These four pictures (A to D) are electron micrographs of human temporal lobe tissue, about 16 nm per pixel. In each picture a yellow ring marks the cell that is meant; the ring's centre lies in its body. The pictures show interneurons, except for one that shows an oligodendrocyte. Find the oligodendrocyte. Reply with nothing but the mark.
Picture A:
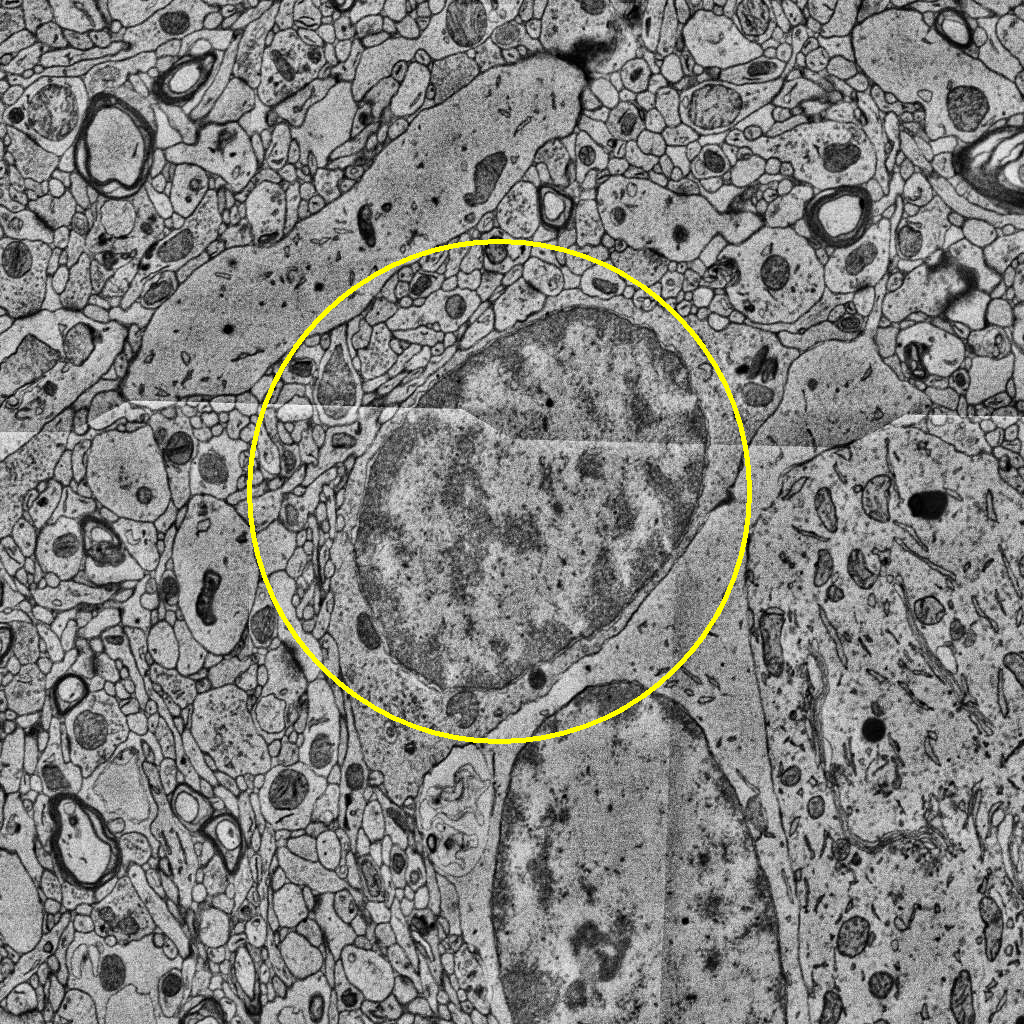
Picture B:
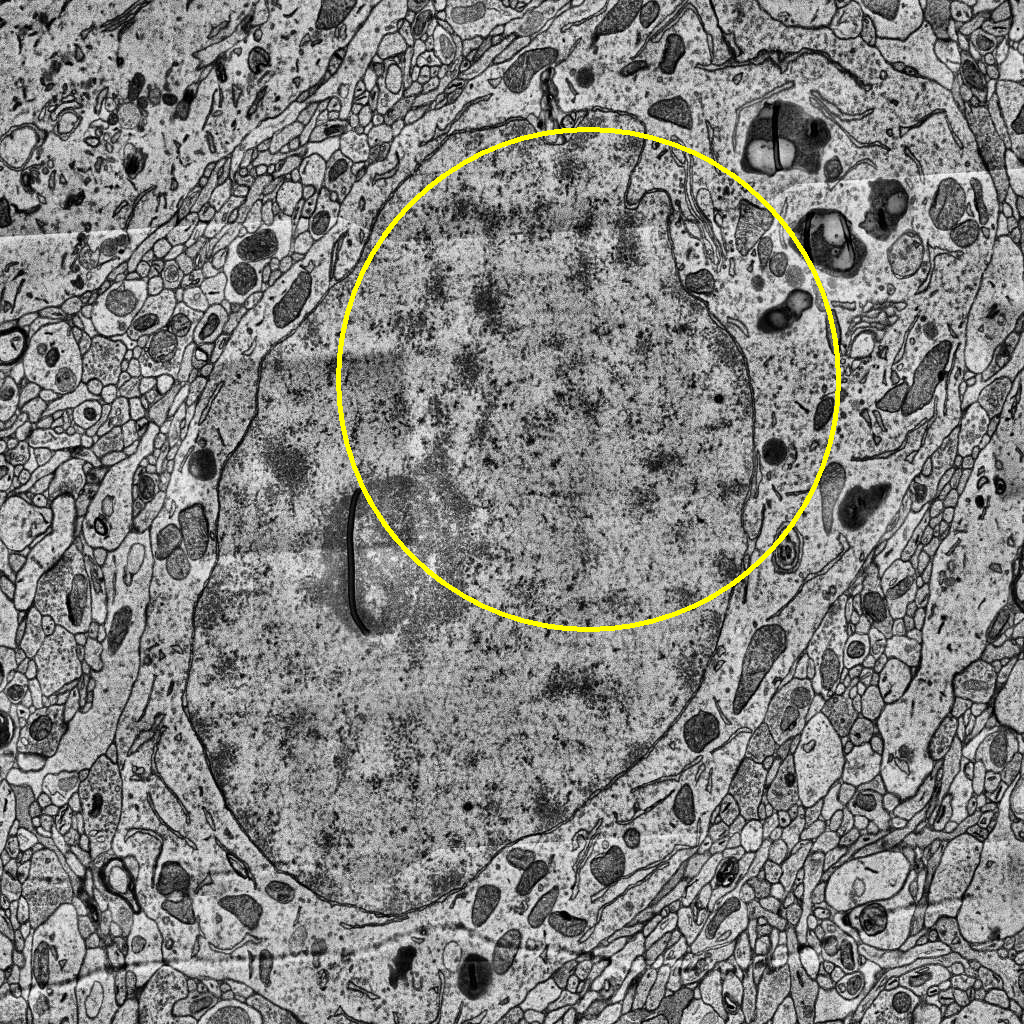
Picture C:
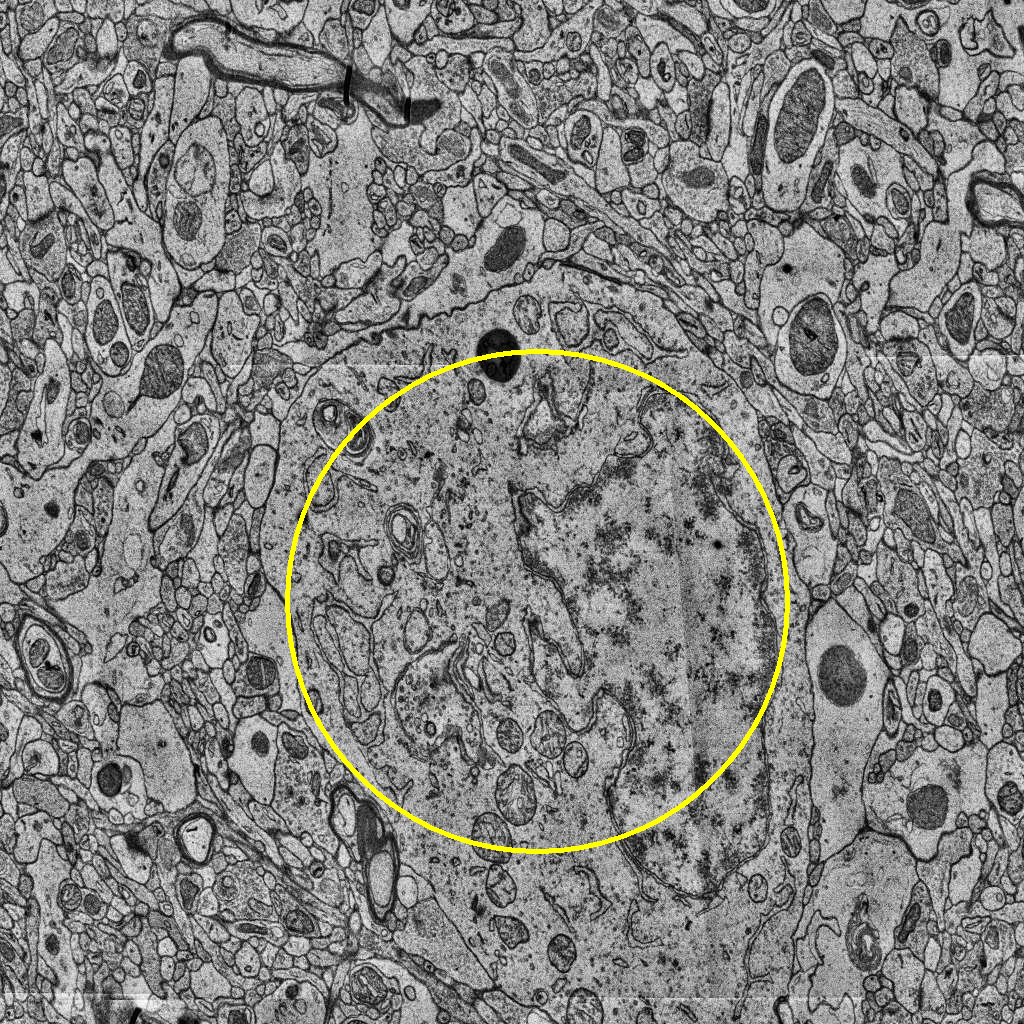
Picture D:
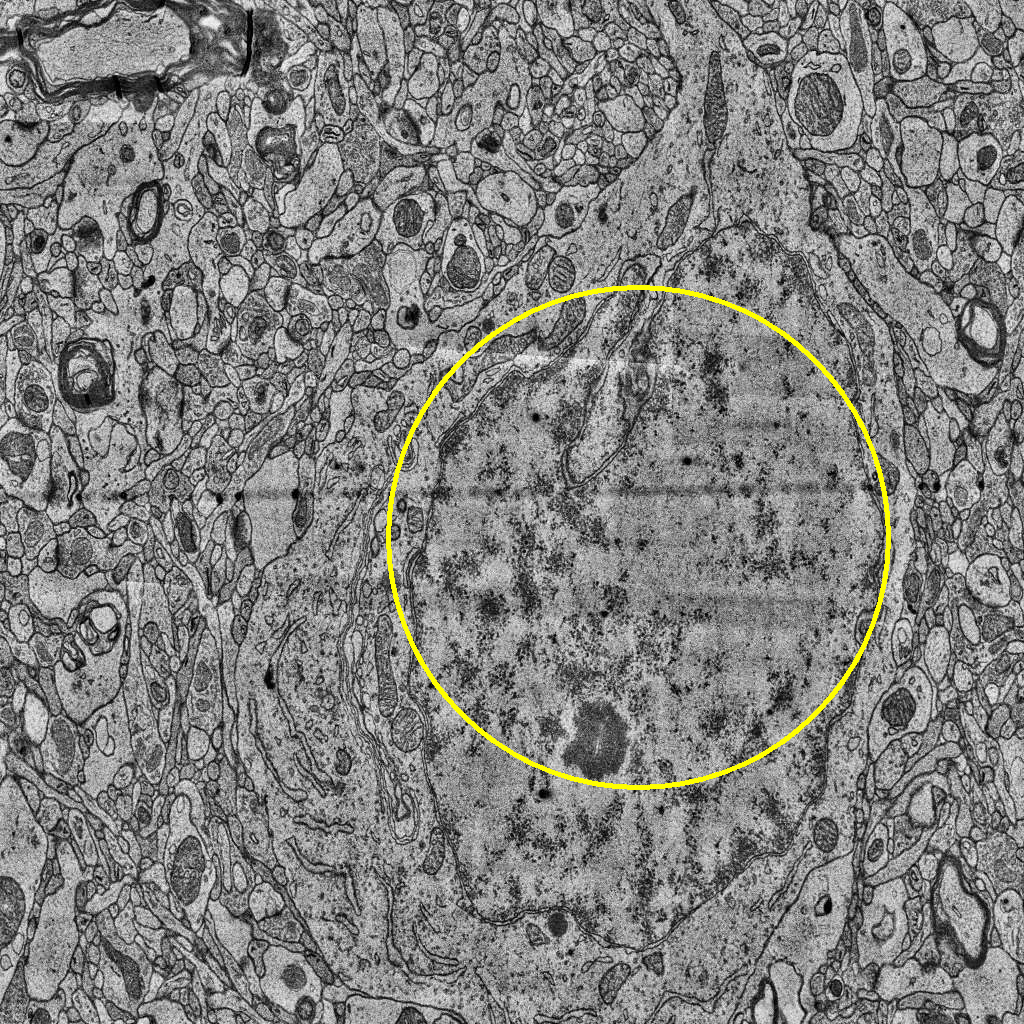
A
